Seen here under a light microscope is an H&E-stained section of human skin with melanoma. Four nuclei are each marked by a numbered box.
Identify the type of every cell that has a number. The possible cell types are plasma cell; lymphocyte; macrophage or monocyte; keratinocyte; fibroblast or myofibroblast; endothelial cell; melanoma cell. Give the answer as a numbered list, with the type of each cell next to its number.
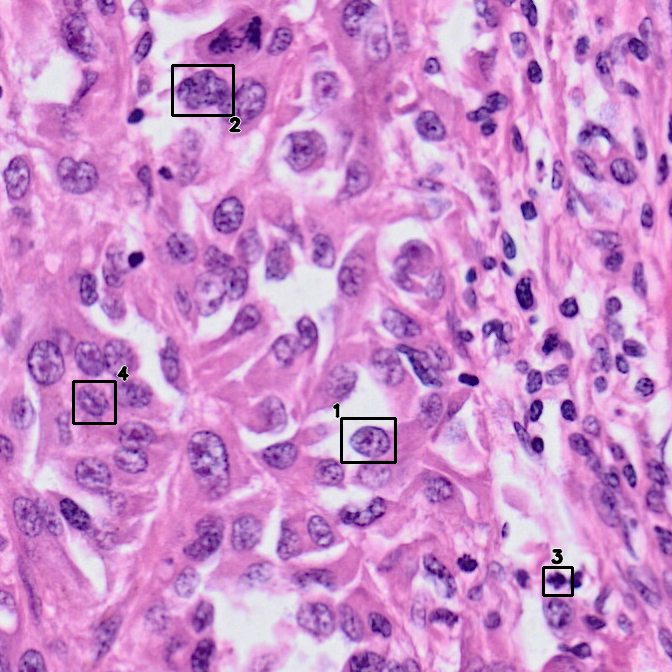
1. melanoma cell
2. melanoma cell
3. lymphocyte
4. melanoma cell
